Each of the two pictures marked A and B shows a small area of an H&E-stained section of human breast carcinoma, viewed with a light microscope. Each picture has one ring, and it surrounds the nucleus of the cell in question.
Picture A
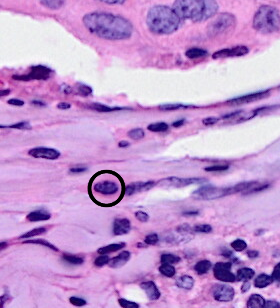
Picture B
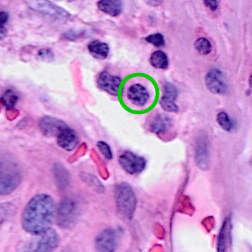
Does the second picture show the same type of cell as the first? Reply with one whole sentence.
Yes, both are mast cells.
